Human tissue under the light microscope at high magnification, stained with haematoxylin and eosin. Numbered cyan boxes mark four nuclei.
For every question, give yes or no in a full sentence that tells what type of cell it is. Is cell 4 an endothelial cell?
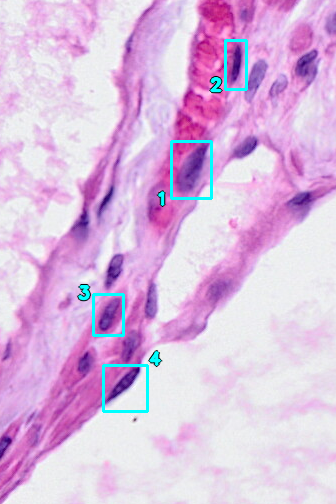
Yes, the cell whose nucleus carries number 4 is an endothelial cell.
